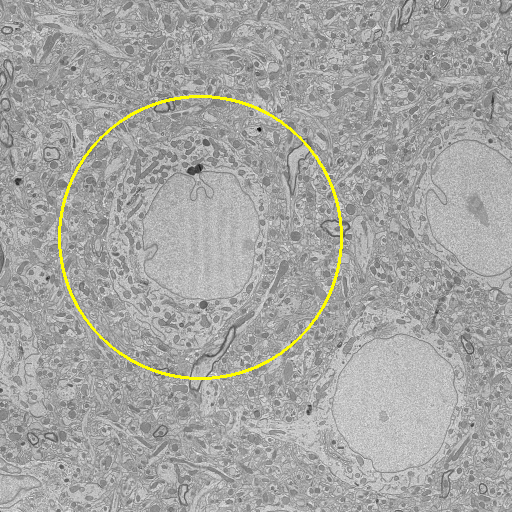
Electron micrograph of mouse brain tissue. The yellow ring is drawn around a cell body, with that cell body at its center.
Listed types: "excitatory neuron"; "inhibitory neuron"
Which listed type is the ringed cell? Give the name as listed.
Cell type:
inhibitory neuron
